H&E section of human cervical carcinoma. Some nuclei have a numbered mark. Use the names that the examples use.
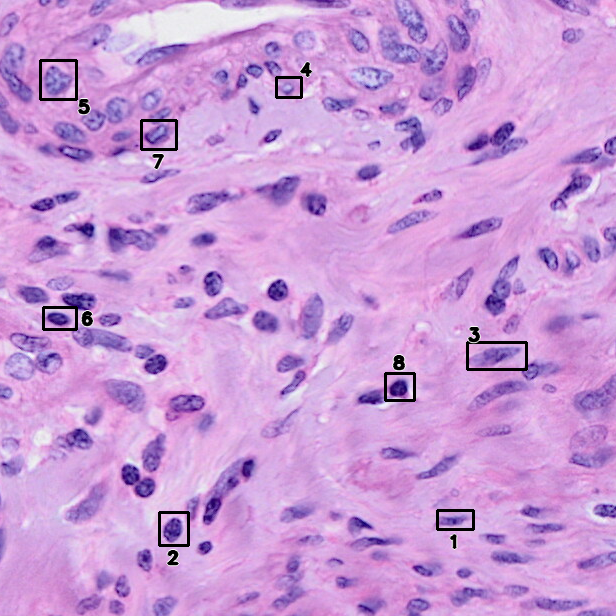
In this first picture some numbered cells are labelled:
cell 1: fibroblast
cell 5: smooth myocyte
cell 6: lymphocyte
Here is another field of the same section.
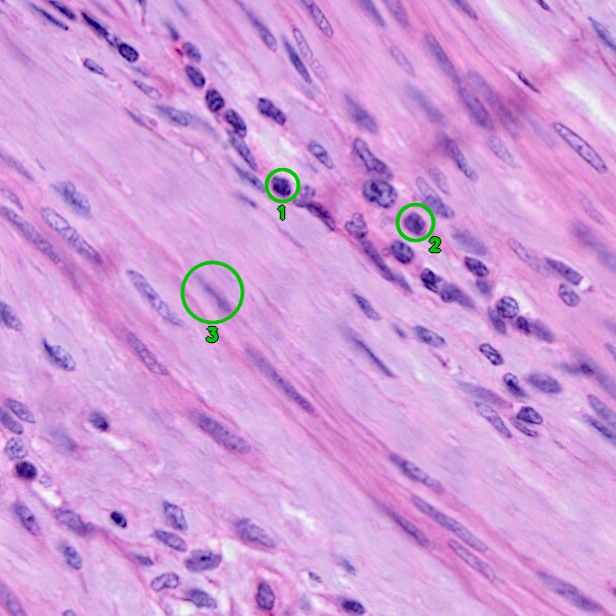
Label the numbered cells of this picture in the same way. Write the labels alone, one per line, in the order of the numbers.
lymphocyte
lymphocyte
smooth myocyte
